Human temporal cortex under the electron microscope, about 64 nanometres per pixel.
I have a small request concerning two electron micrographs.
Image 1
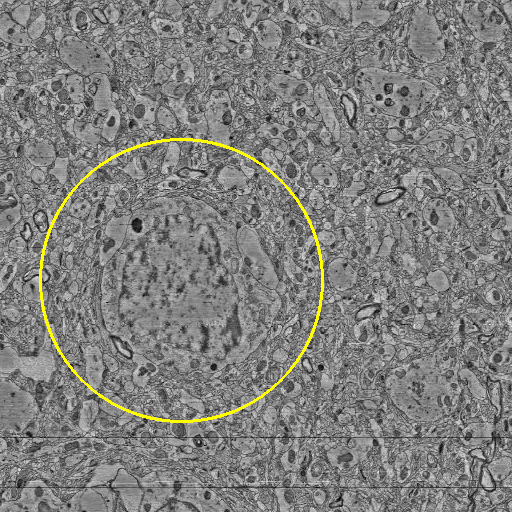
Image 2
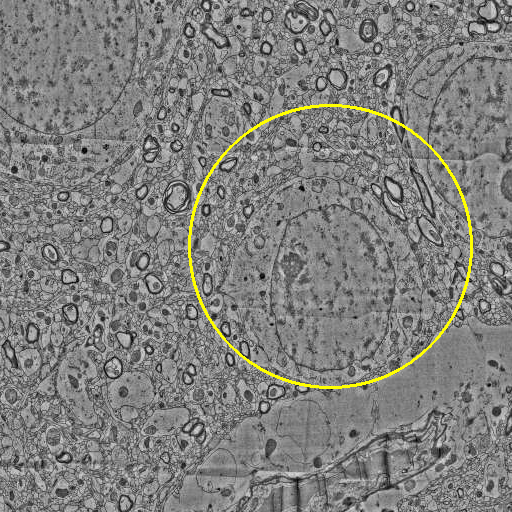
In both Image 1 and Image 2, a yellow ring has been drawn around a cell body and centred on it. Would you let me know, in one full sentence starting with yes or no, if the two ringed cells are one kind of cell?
No, the cells ringed in Image 1 and Image 2 are two kinds of cell.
